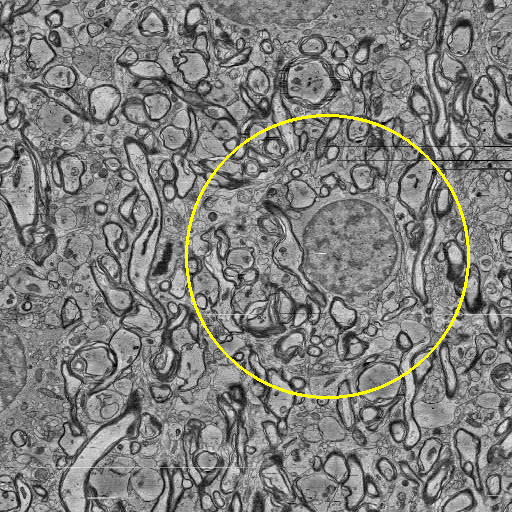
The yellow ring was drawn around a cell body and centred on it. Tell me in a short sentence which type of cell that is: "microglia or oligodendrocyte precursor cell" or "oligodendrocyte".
The cell at the ring's centre is an oligodendrocyte.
